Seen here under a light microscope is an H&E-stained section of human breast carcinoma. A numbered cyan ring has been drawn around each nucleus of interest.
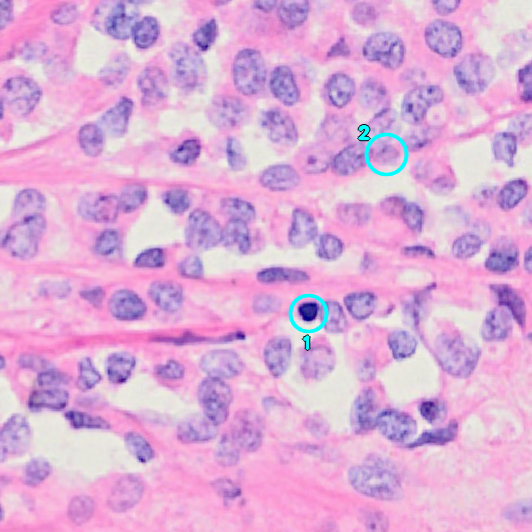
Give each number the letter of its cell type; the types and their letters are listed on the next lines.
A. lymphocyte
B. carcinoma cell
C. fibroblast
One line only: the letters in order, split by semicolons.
A; B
